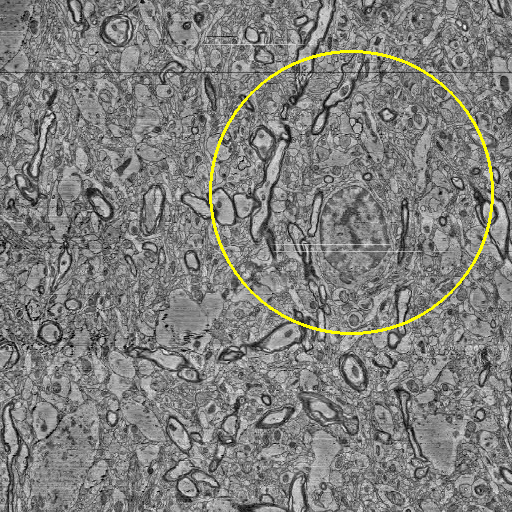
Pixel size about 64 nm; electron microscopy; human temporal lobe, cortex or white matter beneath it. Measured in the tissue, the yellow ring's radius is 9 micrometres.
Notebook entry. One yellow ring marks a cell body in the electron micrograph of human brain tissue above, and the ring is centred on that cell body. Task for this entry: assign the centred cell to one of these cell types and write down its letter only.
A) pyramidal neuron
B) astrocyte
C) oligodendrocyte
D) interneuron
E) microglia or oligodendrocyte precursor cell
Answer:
C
